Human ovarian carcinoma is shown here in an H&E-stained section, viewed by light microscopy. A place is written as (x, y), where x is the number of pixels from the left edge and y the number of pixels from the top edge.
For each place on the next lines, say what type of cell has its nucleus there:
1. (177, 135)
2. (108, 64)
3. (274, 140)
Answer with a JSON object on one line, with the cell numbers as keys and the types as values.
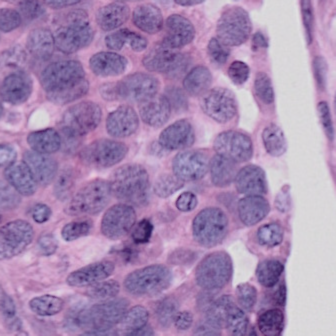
{"1": "carcinoma cell", "2": "carcinoma cell", "3": "macrophage or monocyte"}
